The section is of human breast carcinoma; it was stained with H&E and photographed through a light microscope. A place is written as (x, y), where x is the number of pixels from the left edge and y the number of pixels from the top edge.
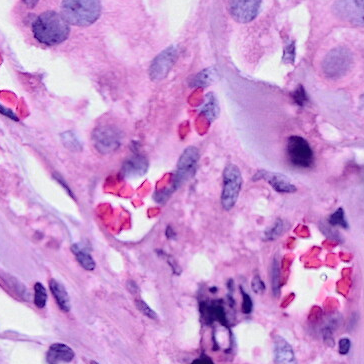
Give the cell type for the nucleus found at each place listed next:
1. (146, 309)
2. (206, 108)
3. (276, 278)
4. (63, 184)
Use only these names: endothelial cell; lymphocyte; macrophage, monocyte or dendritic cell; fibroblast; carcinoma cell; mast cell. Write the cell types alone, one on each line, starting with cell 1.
fibroblast
endothelial cell
endothelial cell
fibroblast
